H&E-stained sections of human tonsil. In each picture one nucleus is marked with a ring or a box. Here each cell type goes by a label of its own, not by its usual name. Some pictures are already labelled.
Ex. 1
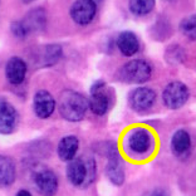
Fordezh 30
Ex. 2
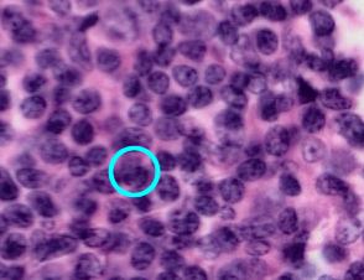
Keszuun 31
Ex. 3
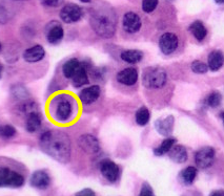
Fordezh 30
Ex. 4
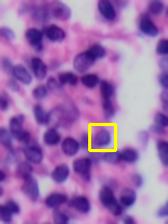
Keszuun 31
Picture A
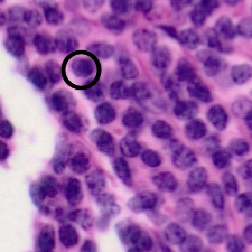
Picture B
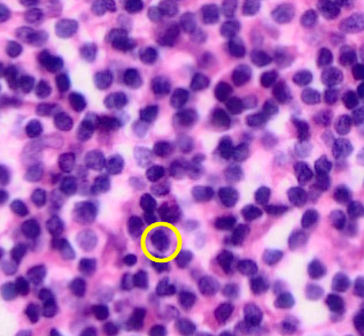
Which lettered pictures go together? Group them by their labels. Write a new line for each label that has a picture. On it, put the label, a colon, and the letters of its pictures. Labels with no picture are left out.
Keszuun 31: A, B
